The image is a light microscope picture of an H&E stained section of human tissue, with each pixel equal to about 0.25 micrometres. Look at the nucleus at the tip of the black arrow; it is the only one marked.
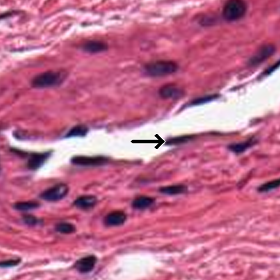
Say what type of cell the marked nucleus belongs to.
endothelial cell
